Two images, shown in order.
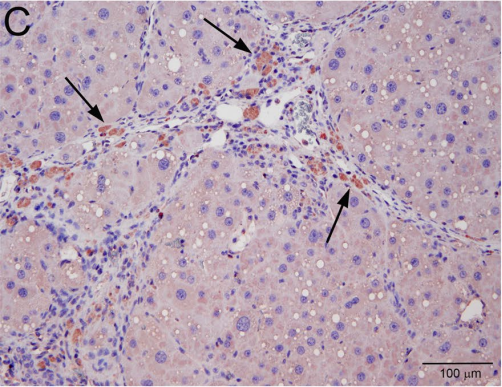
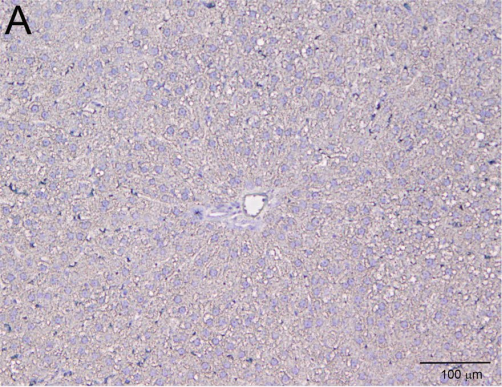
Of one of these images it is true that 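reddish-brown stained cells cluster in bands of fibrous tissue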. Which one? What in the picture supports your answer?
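The first image. First image: fibrous bands separate liver cell nodules and hold many reddish-brown cells. Second image: uniform sheets of liver cells around a central vessel, no bands and no reddish-brown cells.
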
